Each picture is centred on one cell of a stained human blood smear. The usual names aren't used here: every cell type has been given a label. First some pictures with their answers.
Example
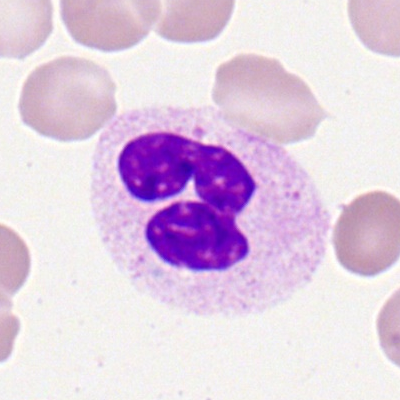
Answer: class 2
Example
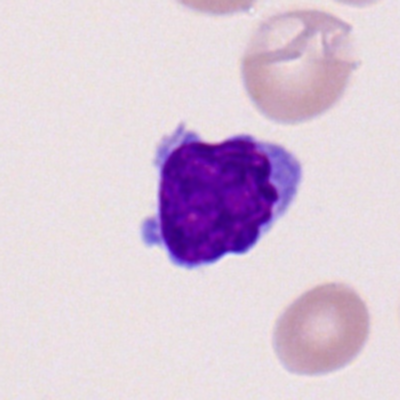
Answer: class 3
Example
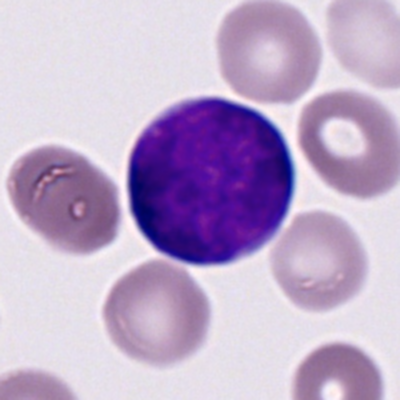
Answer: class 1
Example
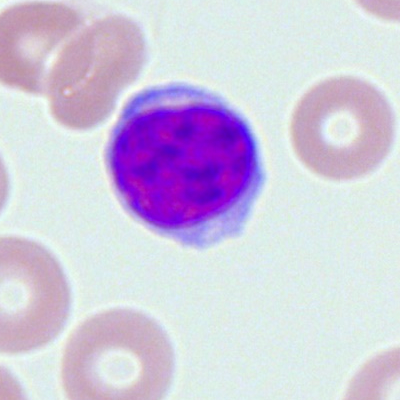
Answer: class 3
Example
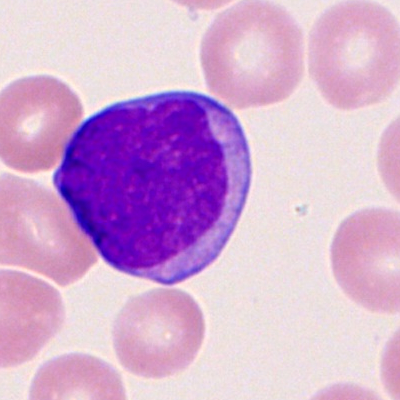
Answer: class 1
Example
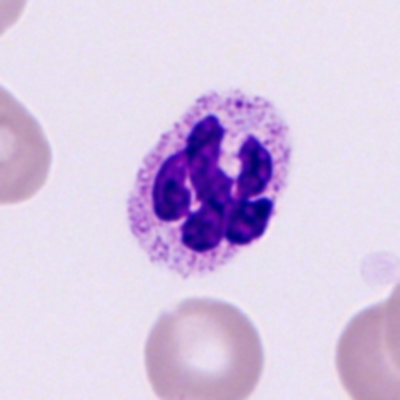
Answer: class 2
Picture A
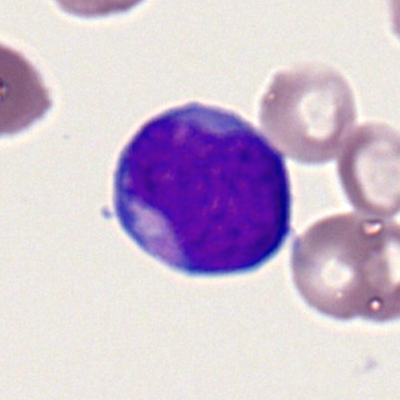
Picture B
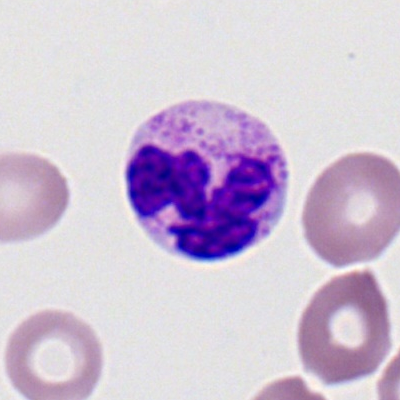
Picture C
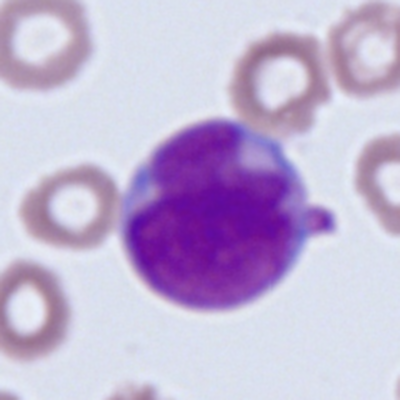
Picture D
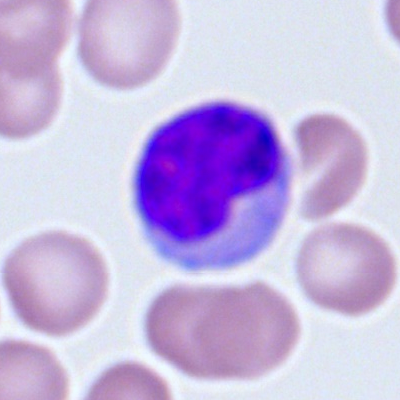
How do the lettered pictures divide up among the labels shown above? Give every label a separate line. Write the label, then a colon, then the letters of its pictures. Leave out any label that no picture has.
class 2: B
class 3: D
class 1: A, C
